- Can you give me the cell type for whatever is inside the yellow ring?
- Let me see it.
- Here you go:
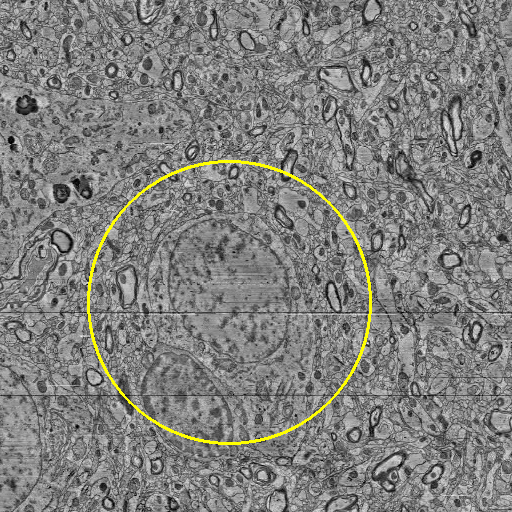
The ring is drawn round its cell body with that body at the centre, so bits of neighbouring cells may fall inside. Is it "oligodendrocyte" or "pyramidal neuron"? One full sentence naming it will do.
The cell body in the middle of the ring in this picture belongs to a pyramidal neuron.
